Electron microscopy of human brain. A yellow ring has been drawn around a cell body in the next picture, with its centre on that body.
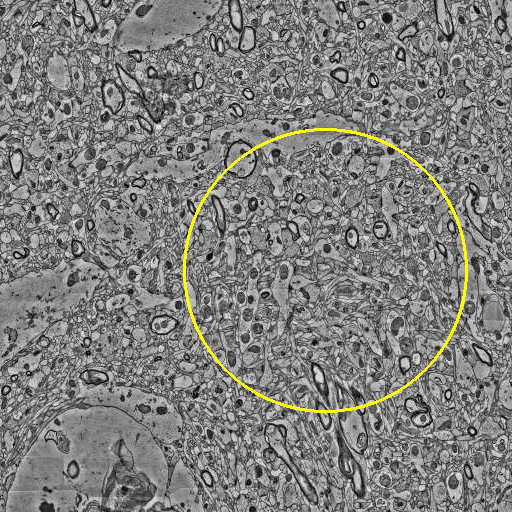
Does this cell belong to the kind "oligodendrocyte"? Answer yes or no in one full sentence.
Yes, the ringed cell in this picture, sitting at the ring's centre, is of that kind.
